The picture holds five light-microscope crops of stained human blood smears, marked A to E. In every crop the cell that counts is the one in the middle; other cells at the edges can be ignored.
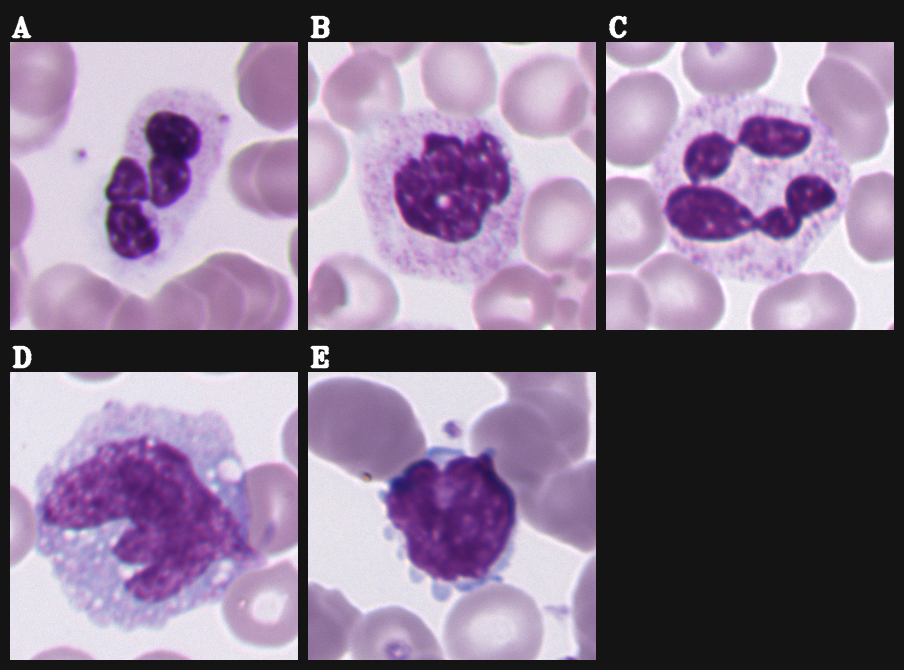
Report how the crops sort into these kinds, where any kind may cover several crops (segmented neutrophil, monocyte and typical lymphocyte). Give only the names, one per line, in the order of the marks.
segmented neutrophil
segmented neutrophil
segmented neutrophil
monocyte
typical lymphocyte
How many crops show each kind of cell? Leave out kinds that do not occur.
segmented neutrophil: 3
monocyte: 1
typical lymphocyte: 1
